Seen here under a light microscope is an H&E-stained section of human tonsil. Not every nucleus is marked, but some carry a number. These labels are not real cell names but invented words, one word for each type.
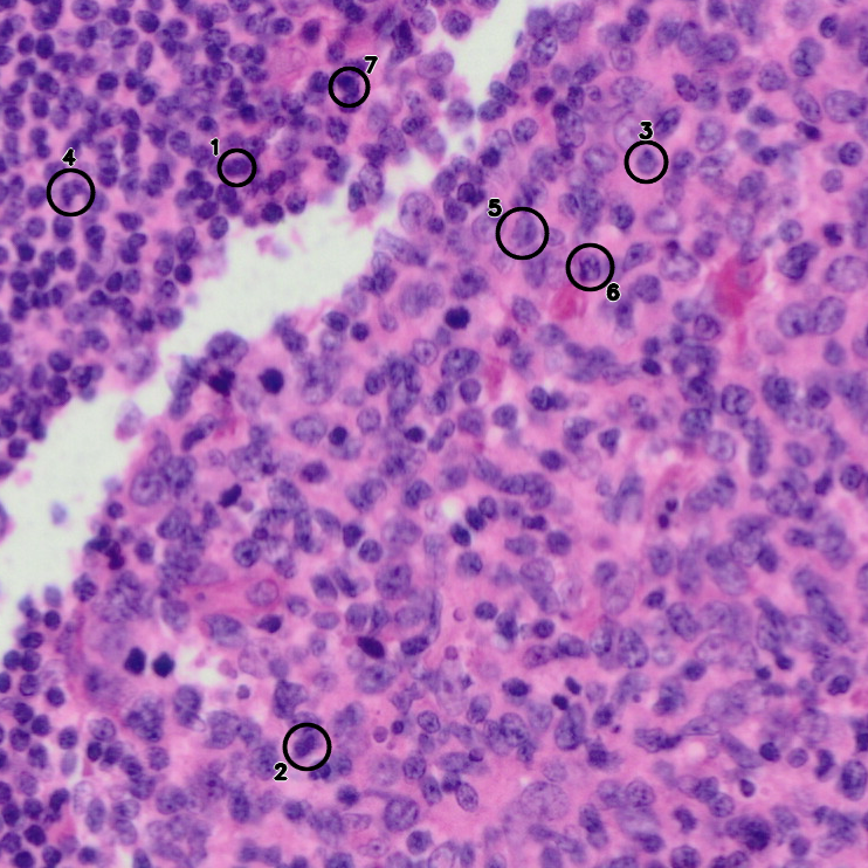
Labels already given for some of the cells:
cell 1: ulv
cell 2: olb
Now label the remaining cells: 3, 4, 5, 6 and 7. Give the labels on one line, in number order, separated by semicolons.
olb; ulv; olb; olb; ulv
